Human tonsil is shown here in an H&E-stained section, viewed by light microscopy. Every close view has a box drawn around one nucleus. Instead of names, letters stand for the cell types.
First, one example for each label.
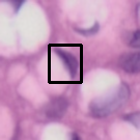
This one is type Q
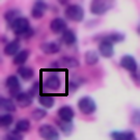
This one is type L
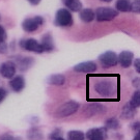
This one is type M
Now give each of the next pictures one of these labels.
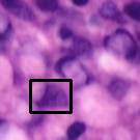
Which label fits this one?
type Q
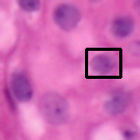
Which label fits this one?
type Q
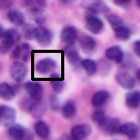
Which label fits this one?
type L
